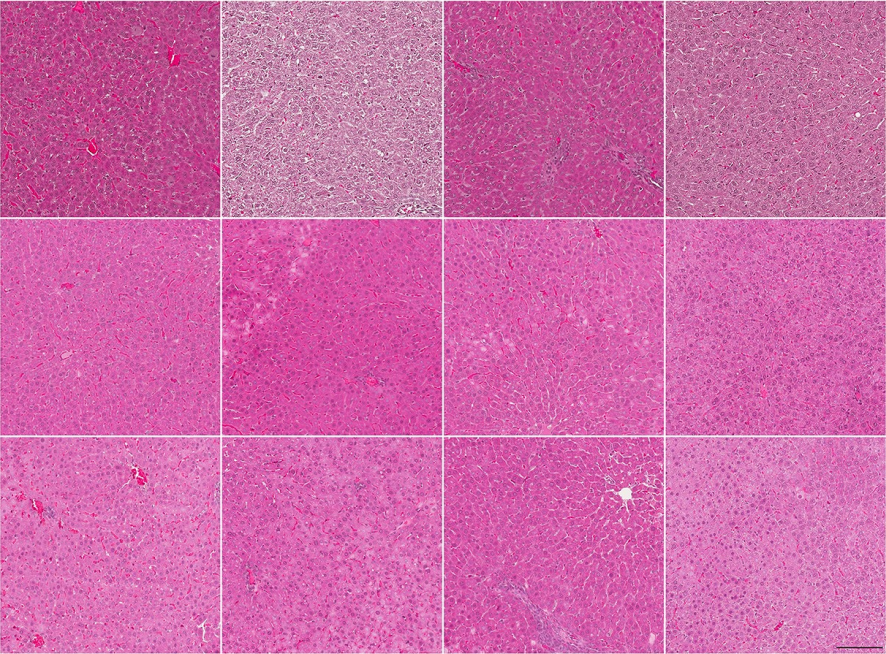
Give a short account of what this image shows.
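Liver parenchyma in twelve low-magnification fields, made up of hepatocytes arranged in plates with narrow sinusoids between them. The hepatocytes are polygonal, with pink cytoplasm and round, purple, centrally placed nuclei. In several fields the plates run toward small vessels, some containing red blood cells, and a few fields include small portal areas with bluish connective tissue.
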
